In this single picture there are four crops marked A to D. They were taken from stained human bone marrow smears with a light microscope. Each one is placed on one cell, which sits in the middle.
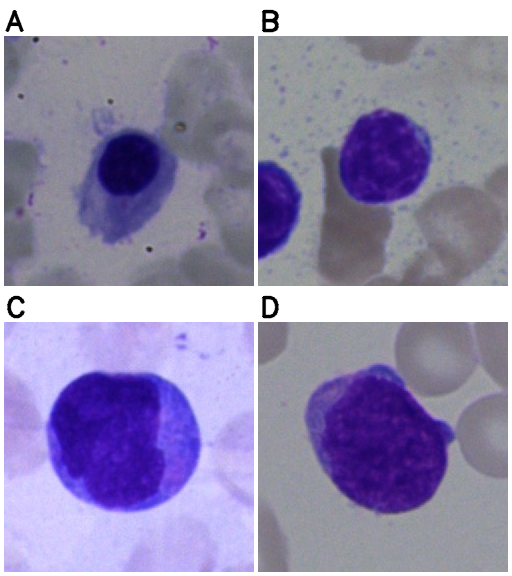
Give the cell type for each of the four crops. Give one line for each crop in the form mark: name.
A: erythroblast
B: lymphocyte
C: blast
D: blast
